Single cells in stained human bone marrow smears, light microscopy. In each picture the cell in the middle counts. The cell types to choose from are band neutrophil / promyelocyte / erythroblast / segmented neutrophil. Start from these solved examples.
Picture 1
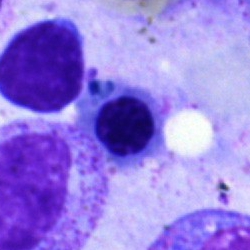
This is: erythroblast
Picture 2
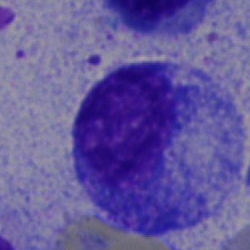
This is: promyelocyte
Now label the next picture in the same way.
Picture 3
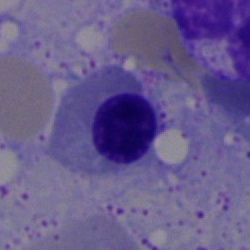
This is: erythroblast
